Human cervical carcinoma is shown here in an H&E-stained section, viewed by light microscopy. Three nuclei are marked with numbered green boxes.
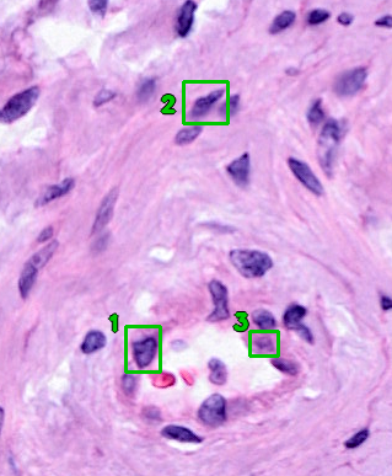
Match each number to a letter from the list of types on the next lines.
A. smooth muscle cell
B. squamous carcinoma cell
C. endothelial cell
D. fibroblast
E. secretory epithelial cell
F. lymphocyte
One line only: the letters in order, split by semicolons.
C; D; C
